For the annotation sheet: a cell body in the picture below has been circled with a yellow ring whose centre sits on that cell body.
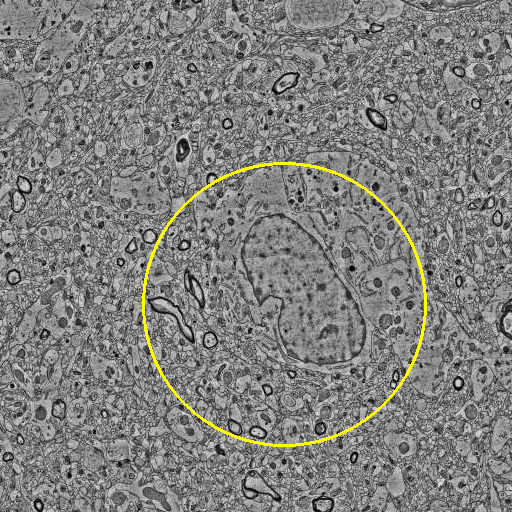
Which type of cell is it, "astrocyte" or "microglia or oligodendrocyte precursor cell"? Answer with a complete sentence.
The circled cell is a microglial cell or oligodendrocyte precursor cell.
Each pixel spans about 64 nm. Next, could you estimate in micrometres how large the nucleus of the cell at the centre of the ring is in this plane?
The nucleus appears about 6 micrometres across in this plane.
